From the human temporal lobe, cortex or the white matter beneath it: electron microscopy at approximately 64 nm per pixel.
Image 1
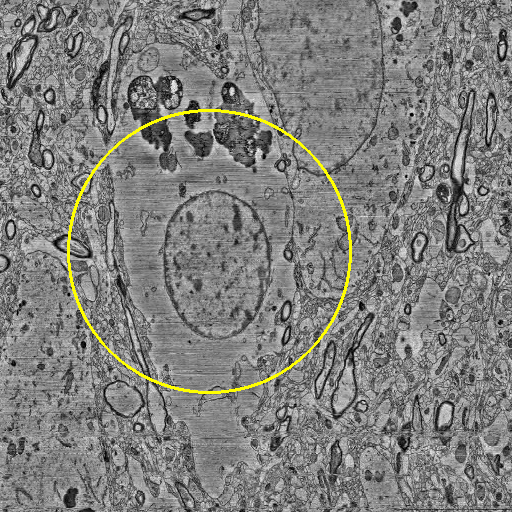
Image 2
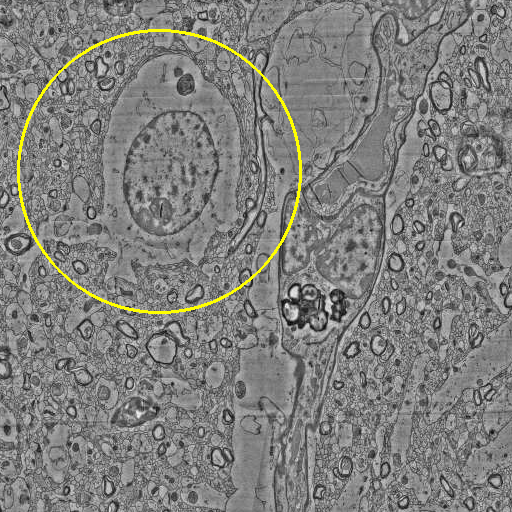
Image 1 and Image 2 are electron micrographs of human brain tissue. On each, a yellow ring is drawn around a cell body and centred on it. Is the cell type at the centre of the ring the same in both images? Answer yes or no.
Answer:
yes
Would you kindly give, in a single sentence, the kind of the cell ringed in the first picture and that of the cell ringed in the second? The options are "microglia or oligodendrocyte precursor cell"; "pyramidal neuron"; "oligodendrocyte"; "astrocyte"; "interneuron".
The second cell is an astrocyte, just as the first is.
